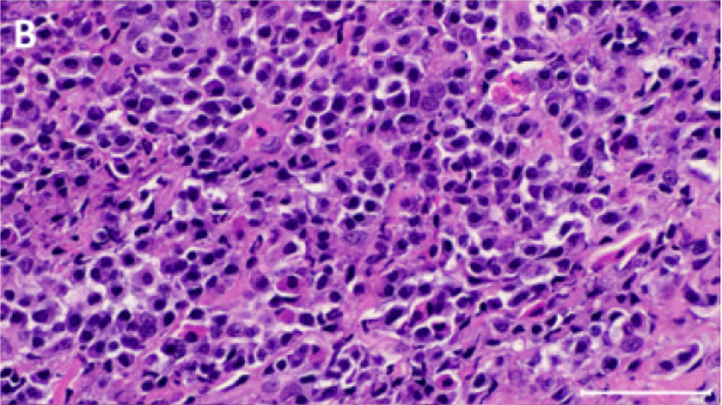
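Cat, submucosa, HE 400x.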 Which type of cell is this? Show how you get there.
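Plasma cells. Most cells are round to oval with eccentric round nuclei. The cells have a moderate rim of purple-pink cytoplasm. The cells are packed closely in sheets.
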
